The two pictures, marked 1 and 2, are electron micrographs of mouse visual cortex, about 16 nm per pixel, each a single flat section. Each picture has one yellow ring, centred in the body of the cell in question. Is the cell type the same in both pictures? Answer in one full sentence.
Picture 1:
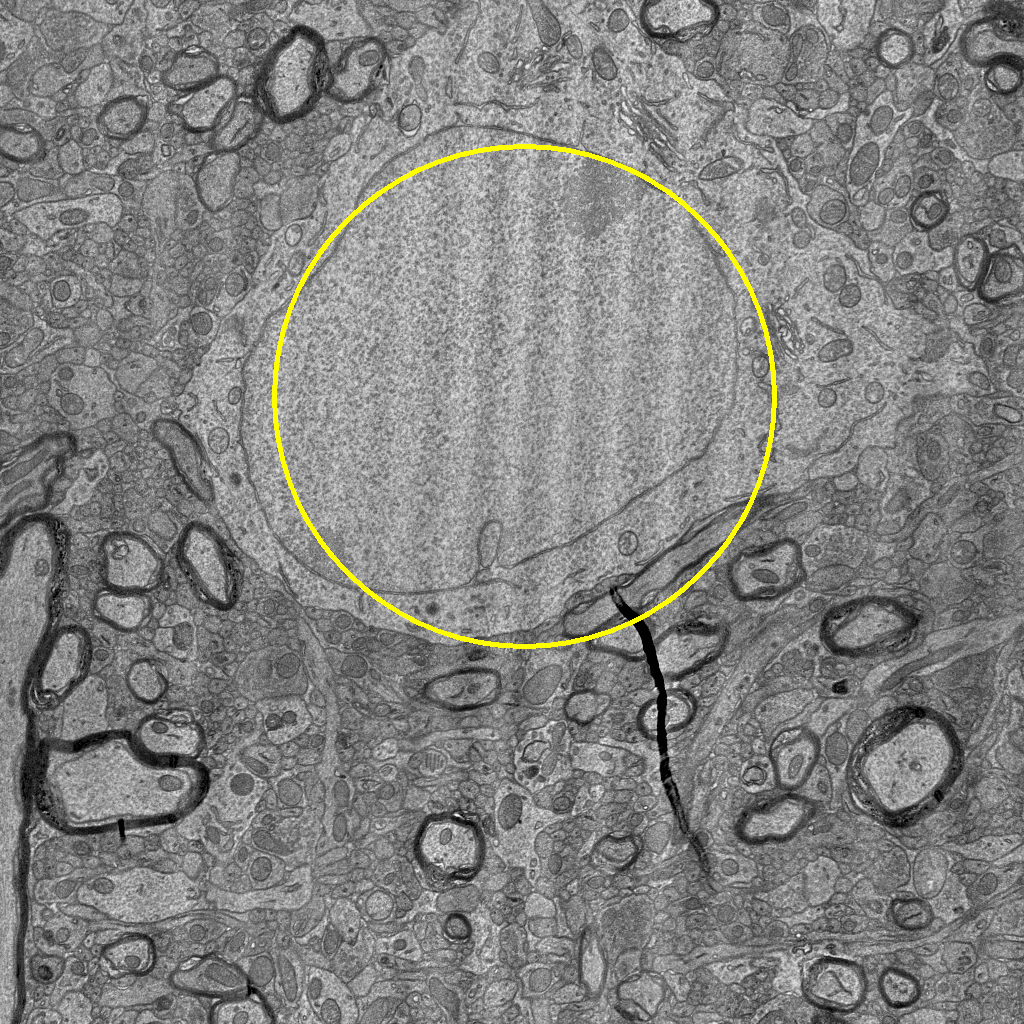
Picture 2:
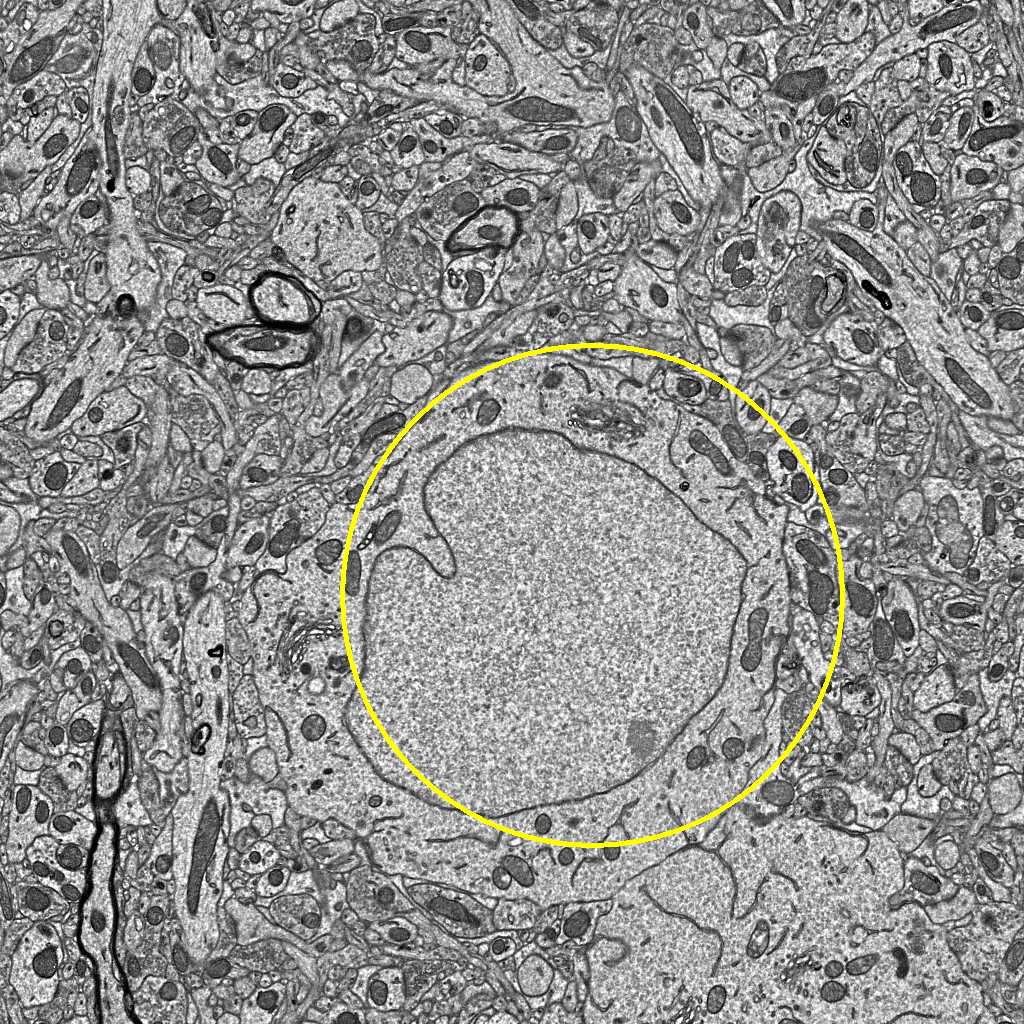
Yes, the two pictures both show excitatory neurons.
